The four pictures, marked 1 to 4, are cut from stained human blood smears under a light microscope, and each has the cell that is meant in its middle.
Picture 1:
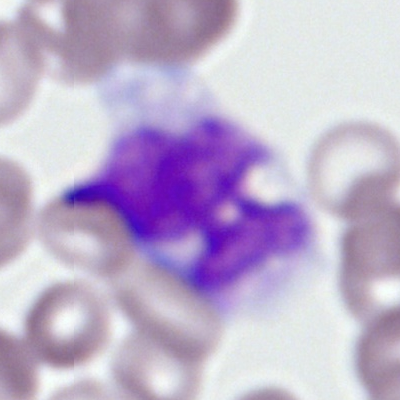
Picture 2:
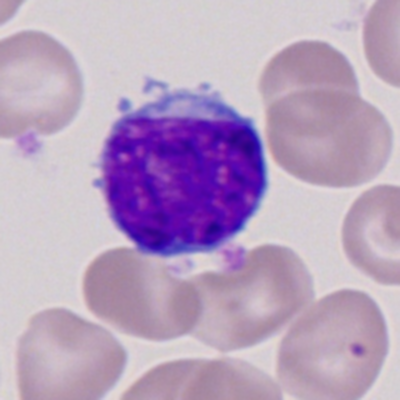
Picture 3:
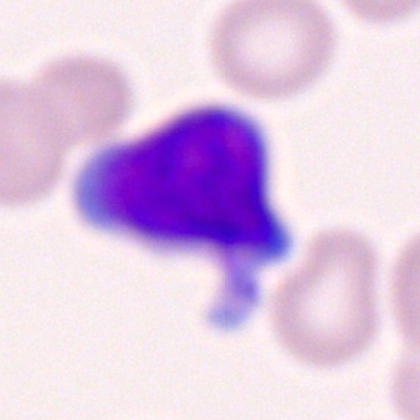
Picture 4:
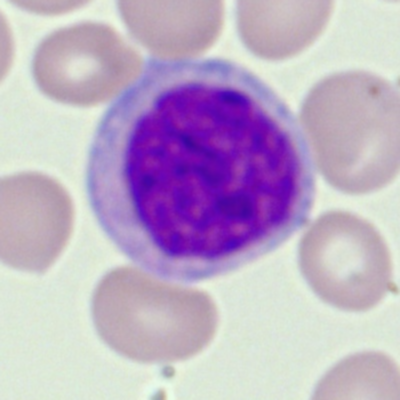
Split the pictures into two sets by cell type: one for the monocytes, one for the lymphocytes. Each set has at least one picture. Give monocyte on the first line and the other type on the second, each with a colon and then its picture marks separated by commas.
monocyte: 1, 4
lymphocyte: 2, 3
